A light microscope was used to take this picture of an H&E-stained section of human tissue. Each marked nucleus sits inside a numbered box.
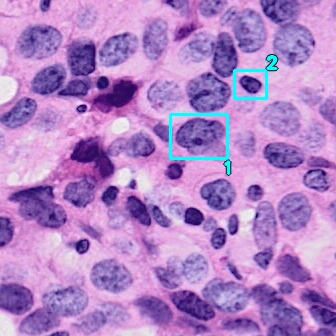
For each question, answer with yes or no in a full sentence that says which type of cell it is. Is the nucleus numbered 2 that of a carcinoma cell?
No, it is not a carcinoma cell that bears number 2 but a lymphocyte.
